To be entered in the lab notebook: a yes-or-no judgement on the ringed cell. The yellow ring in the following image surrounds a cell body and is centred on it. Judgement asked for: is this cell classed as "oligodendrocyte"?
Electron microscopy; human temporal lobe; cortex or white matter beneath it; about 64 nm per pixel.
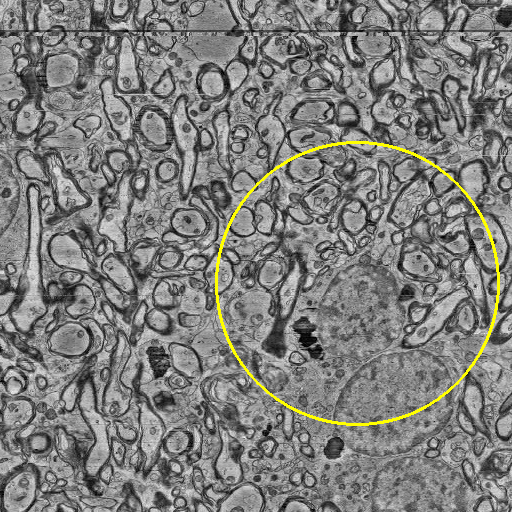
Yes, it is classed that way.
